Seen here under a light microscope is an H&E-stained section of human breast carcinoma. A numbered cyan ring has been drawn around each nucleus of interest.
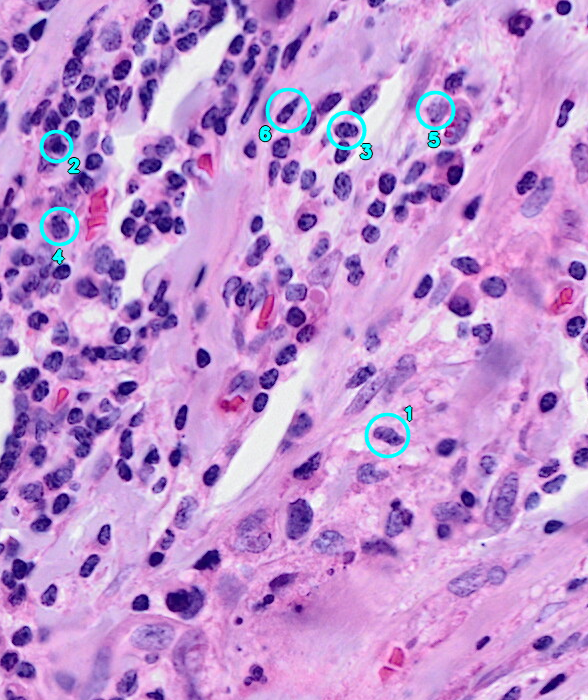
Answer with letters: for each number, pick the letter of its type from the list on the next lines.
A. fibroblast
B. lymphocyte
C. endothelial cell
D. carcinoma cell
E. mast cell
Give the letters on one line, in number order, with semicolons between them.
E; B; B; B; C; B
